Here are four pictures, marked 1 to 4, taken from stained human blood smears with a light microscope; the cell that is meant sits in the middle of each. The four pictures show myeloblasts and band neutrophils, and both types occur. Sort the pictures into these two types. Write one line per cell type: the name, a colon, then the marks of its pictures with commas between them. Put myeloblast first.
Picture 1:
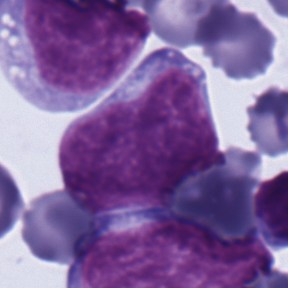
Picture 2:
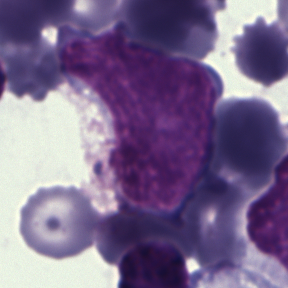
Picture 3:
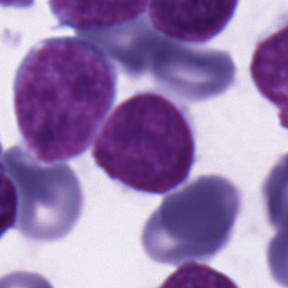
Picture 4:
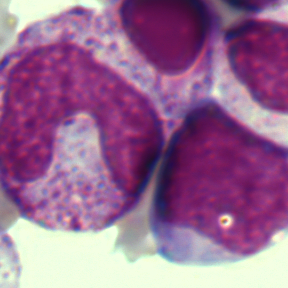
myeloblast: 1, 2, 3
band neutrophil: 4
